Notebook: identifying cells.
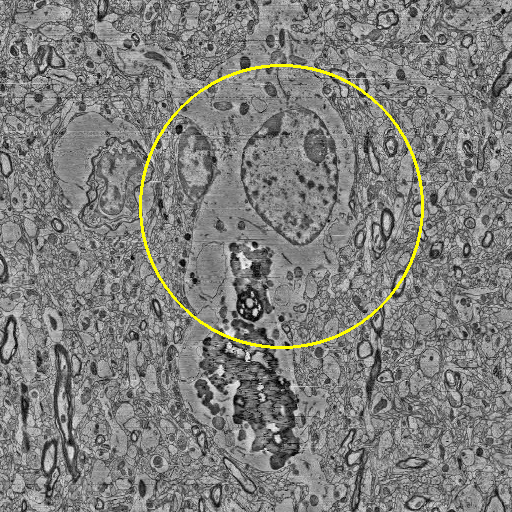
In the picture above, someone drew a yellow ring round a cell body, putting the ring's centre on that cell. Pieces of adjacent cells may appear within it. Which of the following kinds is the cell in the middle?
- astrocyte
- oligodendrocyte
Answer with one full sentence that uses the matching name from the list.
In this picture, the yellow ring is centred on the body of an astrocyte.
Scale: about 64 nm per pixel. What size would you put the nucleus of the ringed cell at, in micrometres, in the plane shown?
The nucleus has a long axis of about 9 micrometres and a short axis of about 6 micrometres in this plane.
